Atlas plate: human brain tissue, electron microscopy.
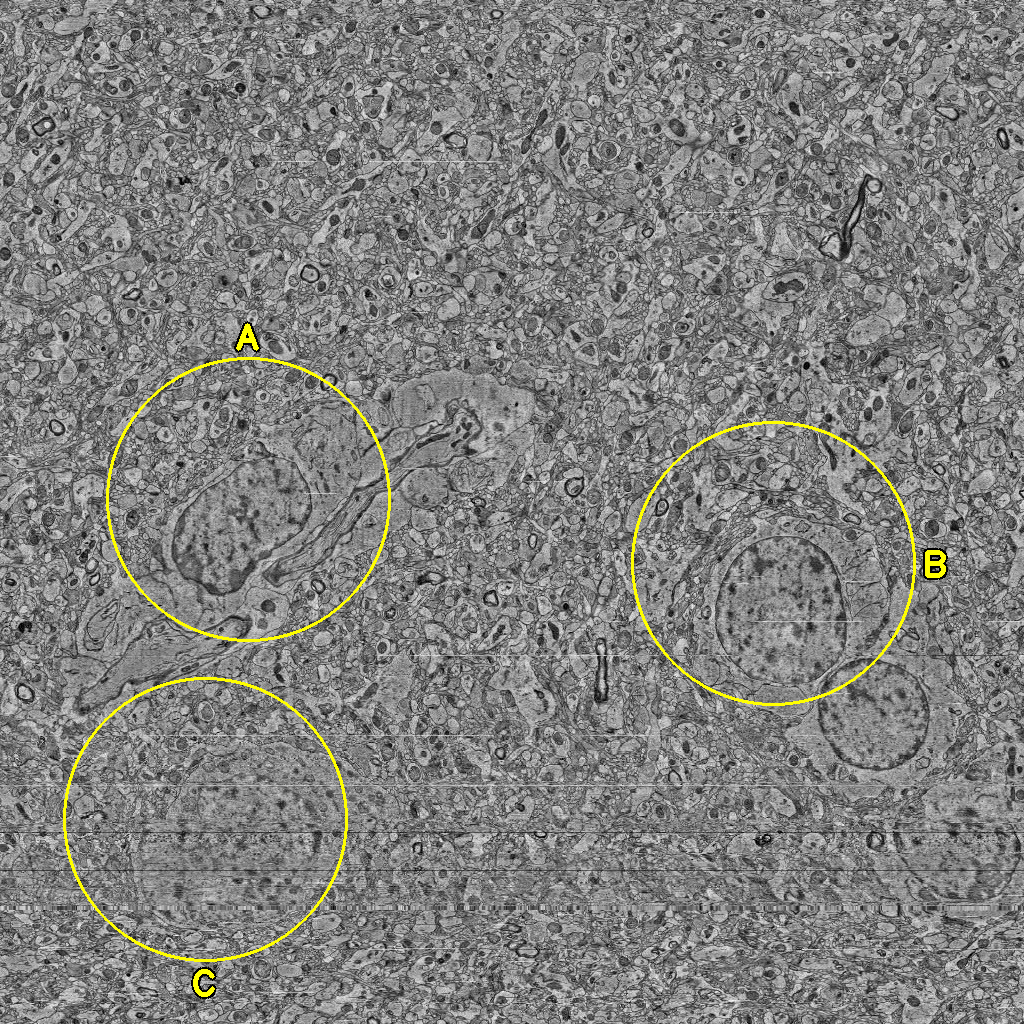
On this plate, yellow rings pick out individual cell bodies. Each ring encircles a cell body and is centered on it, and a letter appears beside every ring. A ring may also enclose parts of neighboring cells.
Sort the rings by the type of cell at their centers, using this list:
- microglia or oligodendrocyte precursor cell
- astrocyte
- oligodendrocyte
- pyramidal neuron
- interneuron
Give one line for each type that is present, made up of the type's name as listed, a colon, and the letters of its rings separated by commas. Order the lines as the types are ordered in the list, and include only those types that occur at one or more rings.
microglia or oligodendrocyte precursor cell: A
astrocyte: B
interneuron: C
